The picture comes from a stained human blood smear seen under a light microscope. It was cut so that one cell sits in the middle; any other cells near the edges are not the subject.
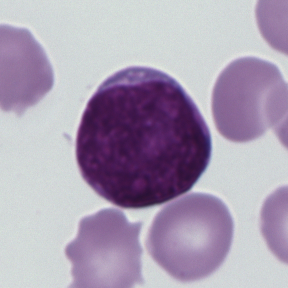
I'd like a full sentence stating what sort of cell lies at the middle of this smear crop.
The middle cell in this particular crop is a myeloblast.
